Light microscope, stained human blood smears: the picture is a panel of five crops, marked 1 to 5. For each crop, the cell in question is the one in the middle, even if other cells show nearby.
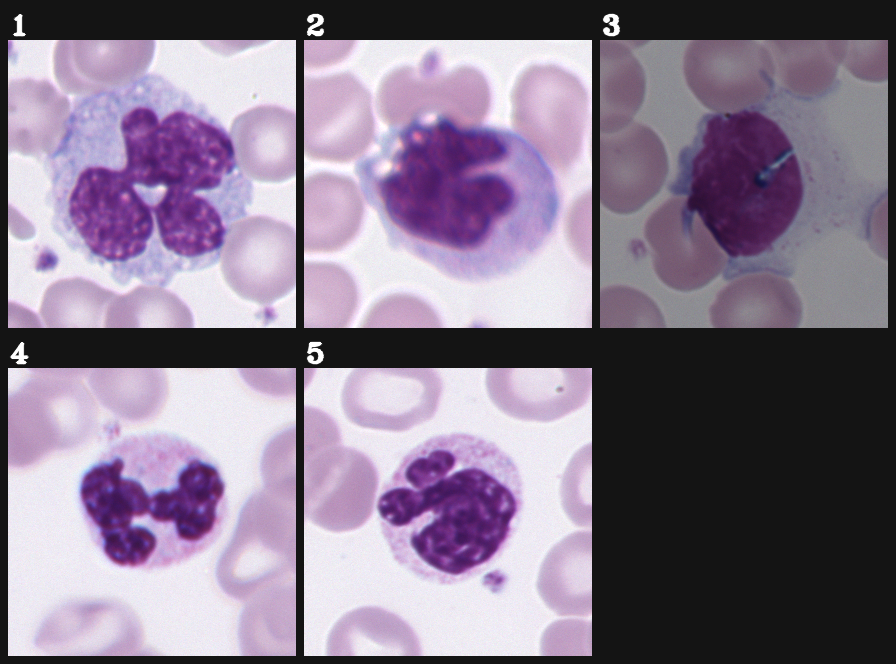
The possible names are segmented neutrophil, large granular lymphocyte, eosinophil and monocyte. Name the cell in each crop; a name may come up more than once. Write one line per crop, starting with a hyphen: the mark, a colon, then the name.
- 1: monocyte
- 2: monocyte
- 3: large granular lymphocyte
- 4: segmented neutrophil
- 5: segmented neutrophil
